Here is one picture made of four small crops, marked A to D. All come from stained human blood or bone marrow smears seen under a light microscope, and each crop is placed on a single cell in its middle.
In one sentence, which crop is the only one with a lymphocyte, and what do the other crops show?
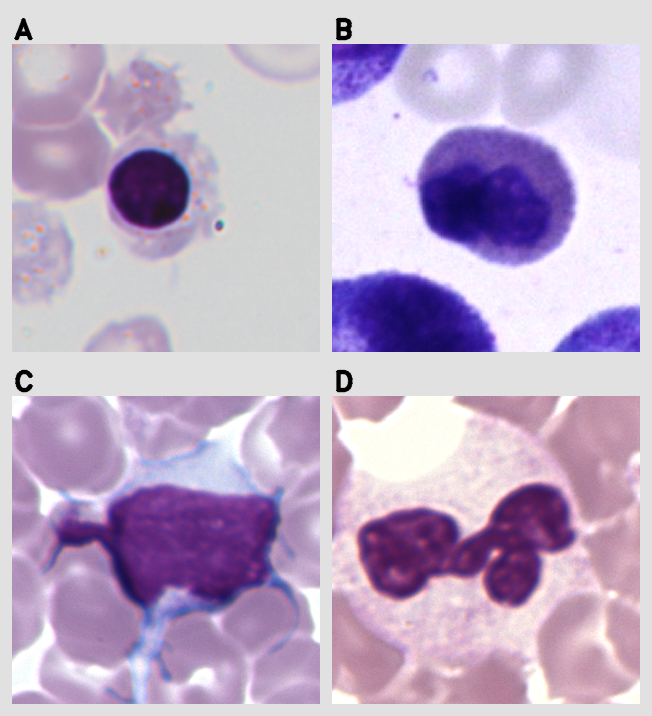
While crop A is an erythroblast, crop B is an eosinophil and crop D is a segmented neutrophil, crop C shows a lymphocyte.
